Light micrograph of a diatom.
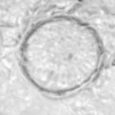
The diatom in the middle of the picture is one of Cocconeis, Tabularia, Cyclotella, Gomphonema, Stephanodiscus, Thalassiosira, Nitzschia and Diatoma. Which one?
Stephanodiscus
